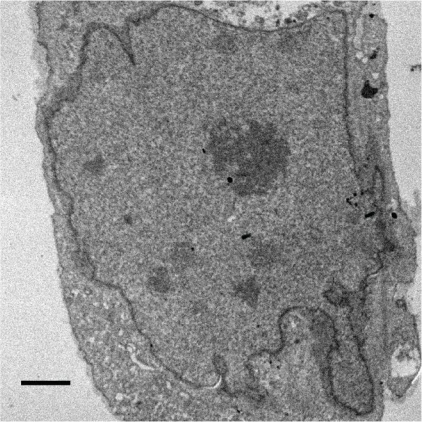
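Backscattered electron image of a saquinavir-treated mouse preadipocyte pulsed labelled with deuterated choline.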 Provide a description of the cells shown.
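The dark nuclear envelope is not smooth but folds deeply inward at several places, forming long tubular invaginations that reach into the nucleus. A thin rim of cytoplasm with small vesicles and a few dense bodies lies around it.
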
